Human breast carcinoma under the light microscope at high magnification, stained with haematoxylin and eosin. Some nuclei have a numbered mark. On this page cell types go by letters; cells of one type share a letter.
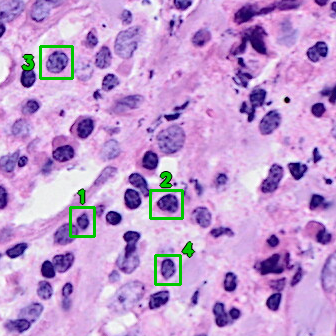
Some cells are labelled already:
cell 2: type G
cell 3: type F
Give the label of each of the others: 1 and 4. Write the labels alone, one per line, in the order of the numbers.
type G
type G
